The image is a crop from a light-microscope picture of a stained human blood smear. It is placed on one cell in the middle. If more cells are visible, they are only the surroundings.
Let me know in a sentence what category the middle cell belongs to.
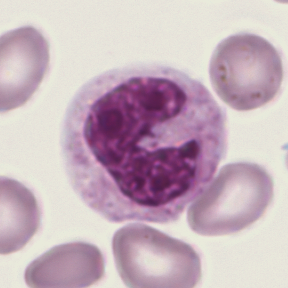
As for the cell in the middle, it is a band neutrophil.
